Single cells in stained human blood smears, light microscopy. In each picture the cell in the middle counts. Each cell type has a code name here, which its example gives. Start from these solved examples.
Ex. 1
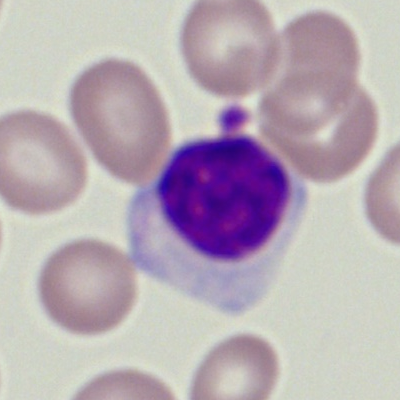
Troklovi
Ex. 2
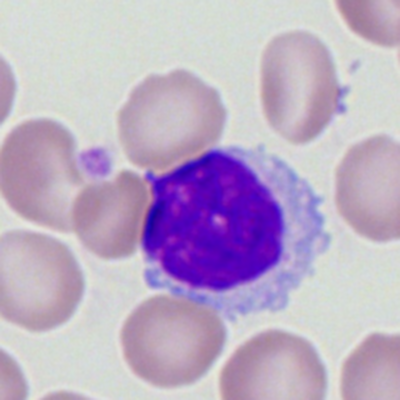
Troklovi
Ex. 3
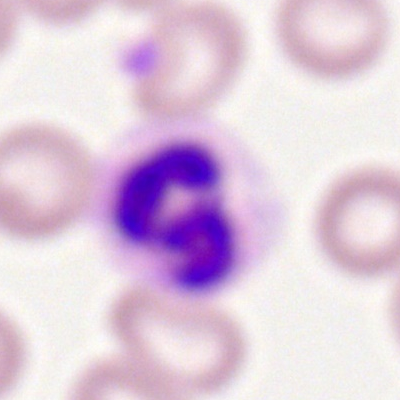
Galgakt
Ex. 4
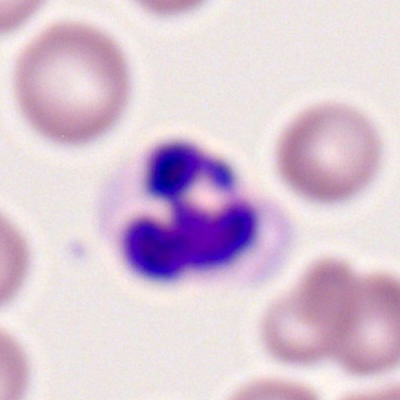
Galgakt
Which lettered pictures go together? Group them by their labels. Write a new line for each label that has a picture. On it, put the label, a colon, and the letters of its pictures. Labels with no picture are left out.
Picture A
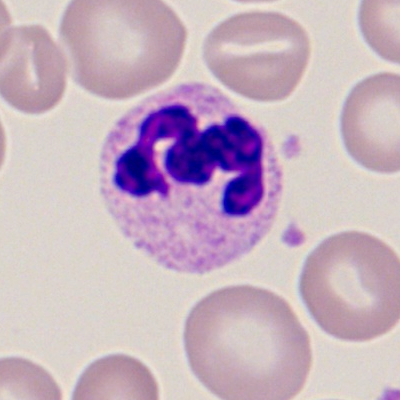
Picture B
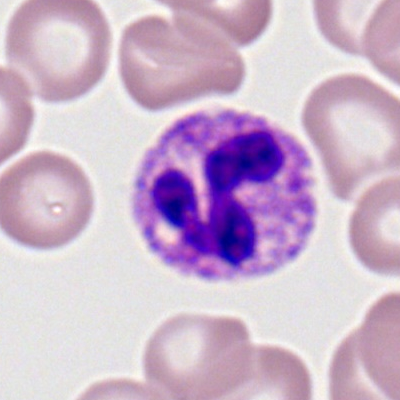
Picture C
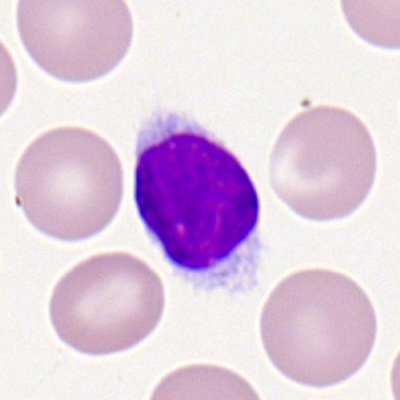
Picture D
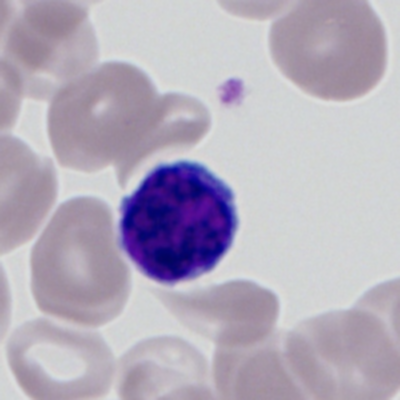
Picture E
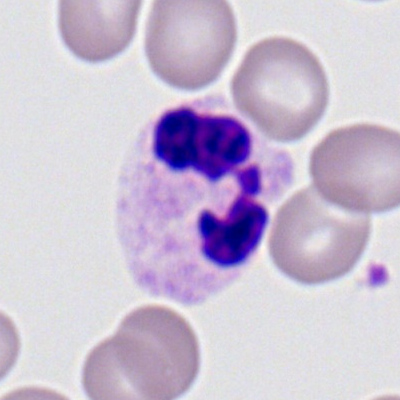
Troklovi: C, D
Galgakt: A, B, E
